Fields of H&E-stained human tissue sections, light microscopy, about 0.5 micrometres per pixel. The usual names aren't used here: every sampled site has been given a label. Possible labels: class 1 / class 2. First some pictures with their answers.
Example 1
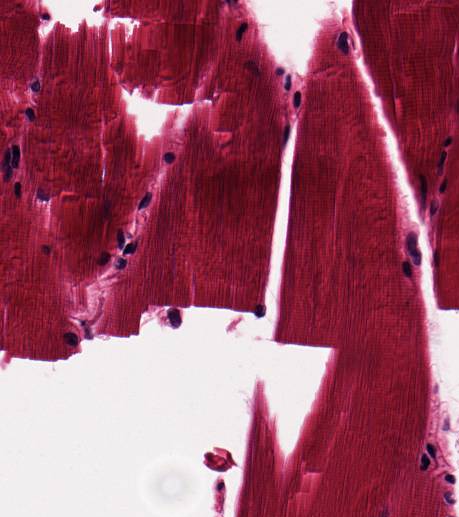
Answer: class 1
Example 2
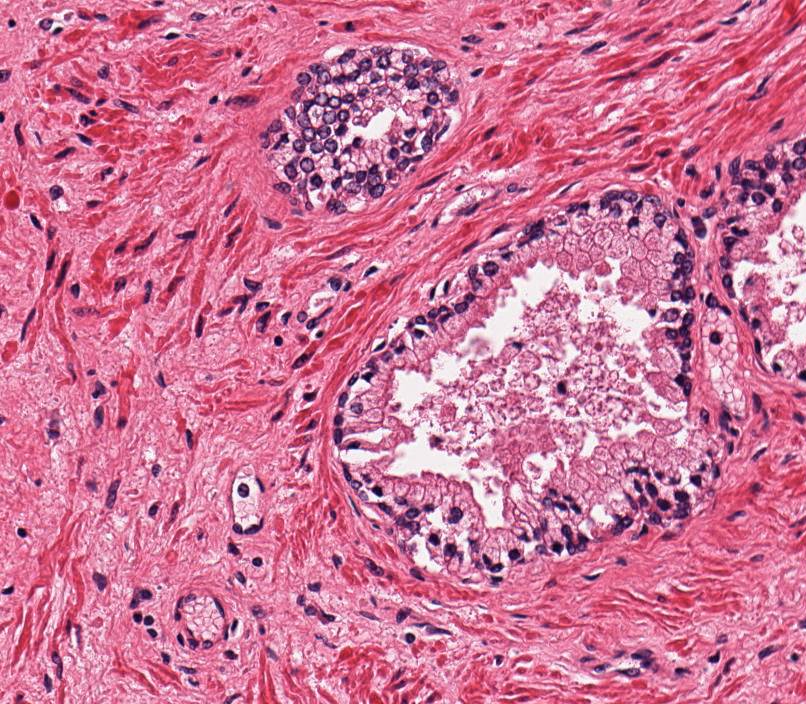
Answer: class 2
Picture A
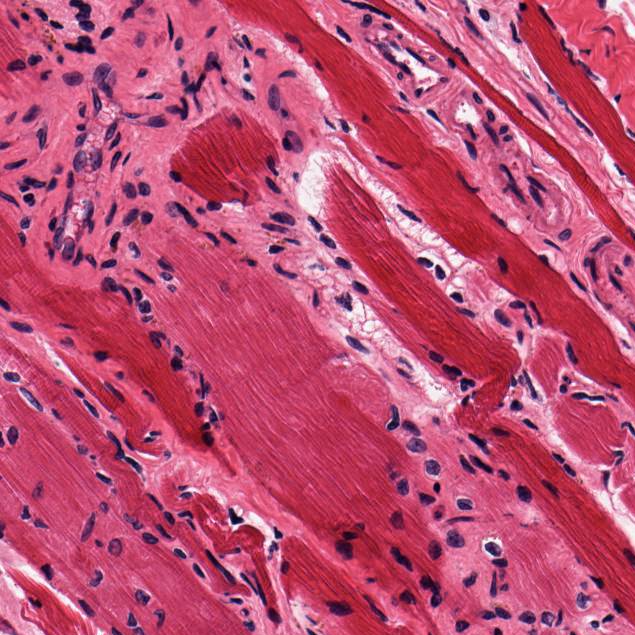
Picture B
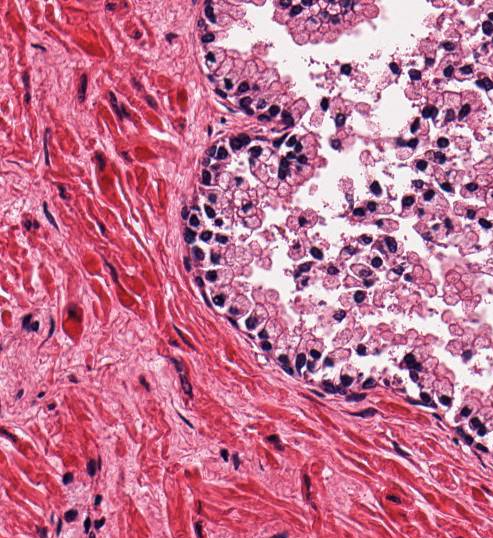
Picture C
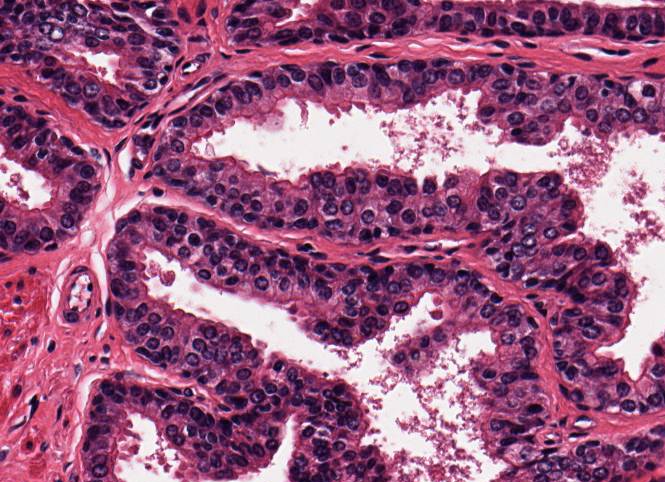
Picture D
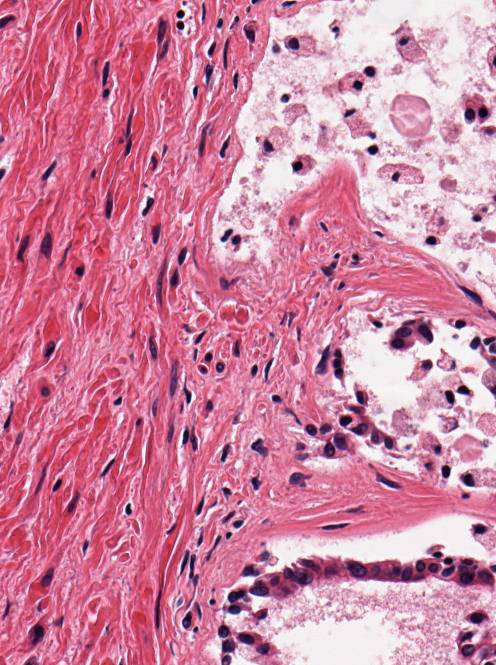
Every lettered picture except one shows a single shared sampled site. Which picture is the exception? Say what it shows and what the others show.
A differs and shows class 1; the others show class 2.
